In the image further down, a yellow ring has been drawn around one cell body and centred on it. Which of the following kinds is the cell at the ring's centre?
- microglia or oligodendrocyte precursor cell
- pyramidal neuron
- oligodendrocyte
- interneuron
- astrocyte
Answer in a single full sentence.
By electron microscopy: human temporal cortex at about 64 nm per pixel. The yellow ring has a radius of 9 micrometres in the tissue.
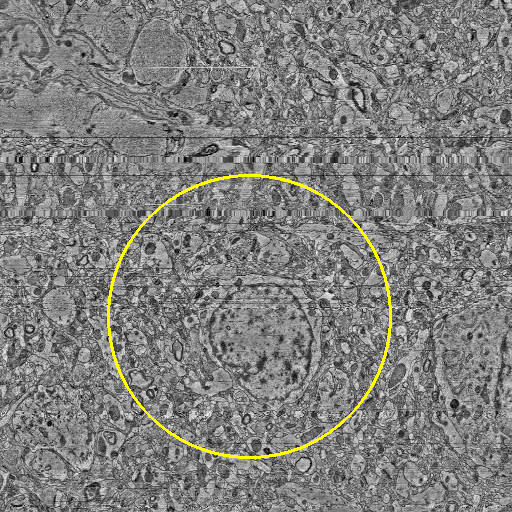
In the picture, the cell sitting at the centre of the yellow ring is an interneuron.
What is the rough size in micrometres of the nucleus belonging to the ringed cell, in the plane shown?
Approximately 8 micrometres long and 7 micrometres wide, in this plane.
